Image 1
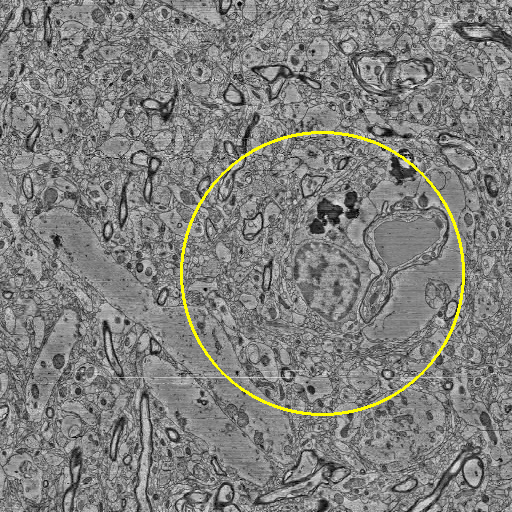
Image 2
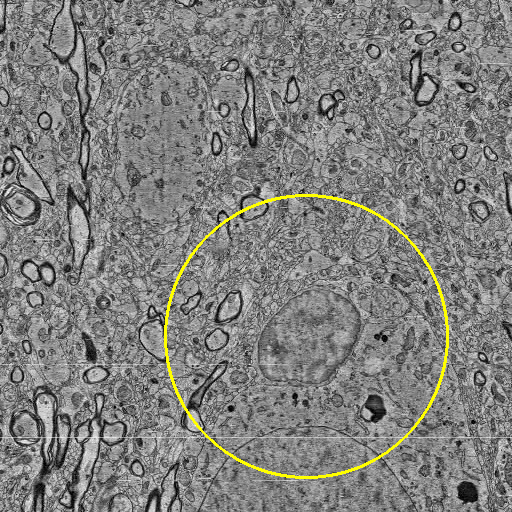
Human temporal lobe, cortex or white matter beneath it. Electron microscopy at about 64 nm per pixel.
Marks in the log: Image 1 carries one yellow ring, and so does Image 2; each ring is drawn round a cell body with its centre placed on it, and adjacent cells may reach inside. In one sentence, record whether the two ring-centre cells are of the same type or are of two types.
The two cells at the ring centres, one in each image, are of the same type.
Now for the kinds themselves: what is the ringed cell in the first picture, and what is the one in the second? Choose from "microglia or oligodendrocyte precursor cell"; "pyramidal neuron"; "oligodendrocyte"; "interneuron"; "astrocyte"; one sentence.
Both the first and the second picture show an oligodendrocyte in the ring.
